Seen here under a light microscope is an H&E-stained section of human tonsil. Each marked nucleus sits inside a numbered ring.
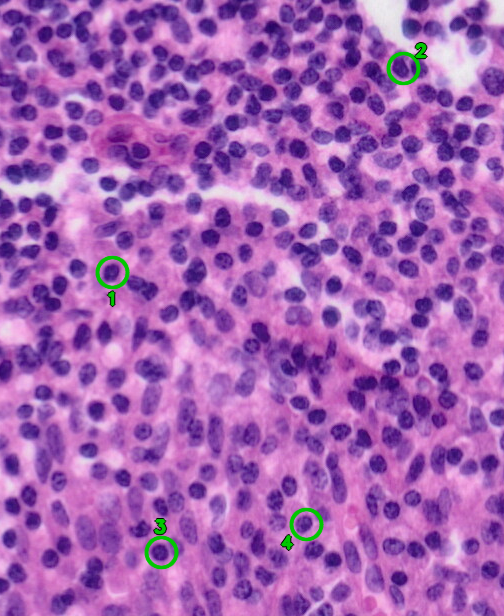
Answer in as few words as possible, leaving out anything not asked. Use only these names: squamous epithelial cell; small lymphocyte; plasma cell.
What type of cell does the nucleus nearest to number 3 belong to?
plasma cell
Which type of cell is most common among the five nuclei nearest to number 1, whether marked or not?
plasma cell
